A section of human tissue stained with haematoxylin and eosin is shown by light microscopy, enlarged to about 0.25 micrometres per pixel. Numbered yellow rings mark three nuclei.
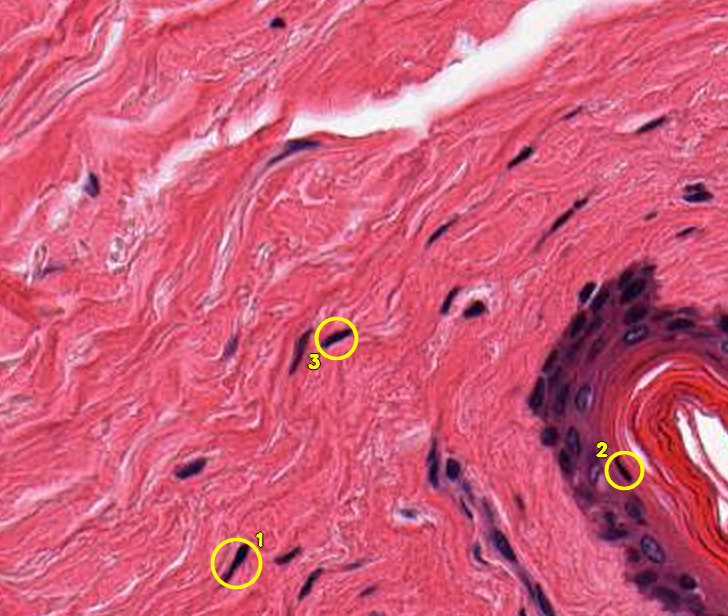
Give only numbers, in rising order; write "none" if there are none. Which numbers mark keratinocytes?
2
